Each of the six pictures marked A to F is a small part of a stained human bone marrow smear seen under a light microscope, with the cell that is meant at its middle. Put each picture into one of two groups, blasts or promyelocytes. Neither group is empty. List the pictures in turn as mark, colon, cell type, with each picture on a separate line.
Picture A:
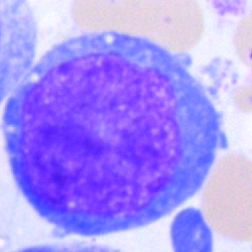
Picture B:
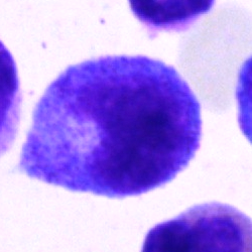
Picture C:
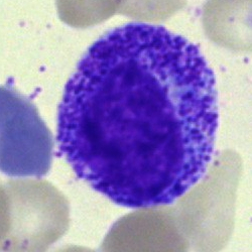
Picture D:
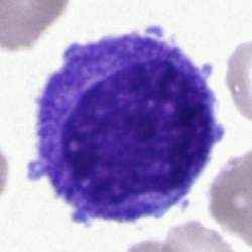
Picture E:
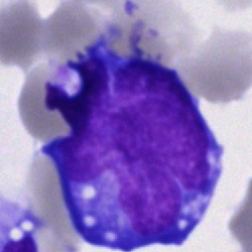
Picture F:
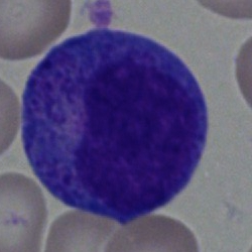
A: blast
B: promyelocyte
C: promyelocyte
D: promyelocyte
E: blast
F: promyelocyte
